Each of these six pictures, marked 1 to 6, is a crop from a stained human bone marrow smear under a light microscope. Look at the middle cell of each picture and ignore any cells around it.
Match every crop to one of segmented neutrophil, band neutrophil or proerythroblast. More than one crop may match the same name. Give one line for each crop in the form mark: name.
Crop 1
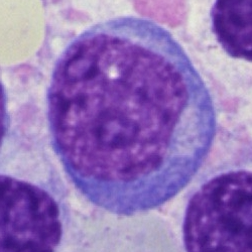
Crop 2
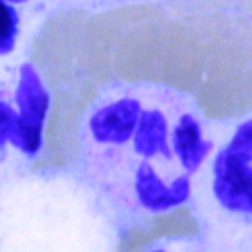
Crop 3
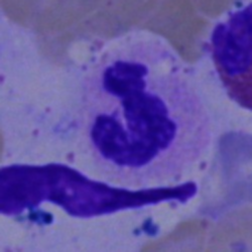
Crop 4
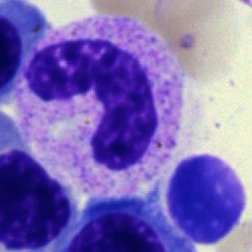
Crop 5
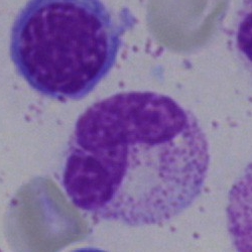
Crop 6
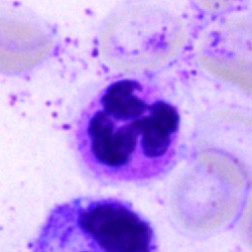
1: proerythroblast
2: segmented neutrophil
3: segmented neutrophil
4: band neutrophil
5: band neutrophil
6: segmented neutrophil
